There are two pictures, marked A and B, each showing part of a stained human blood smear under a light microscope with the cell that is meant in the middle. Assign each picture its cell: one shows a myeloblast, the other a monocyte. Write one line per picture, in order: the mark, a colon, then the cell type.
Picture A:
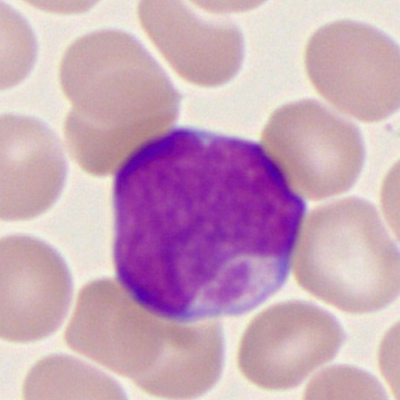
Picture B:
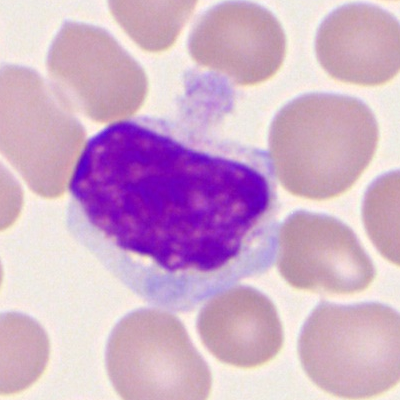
A: myeloblast
B: monocyte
